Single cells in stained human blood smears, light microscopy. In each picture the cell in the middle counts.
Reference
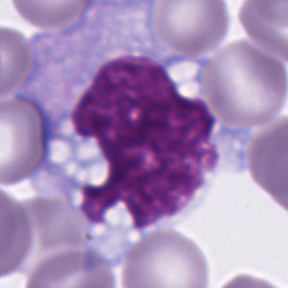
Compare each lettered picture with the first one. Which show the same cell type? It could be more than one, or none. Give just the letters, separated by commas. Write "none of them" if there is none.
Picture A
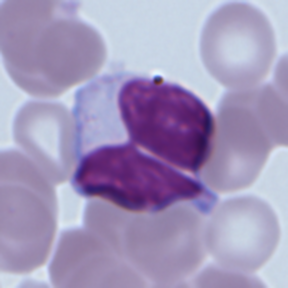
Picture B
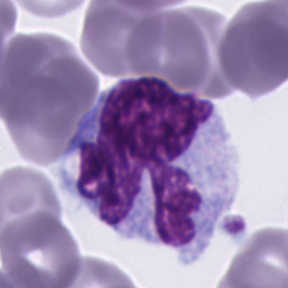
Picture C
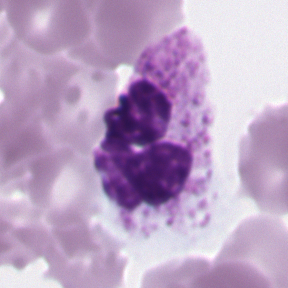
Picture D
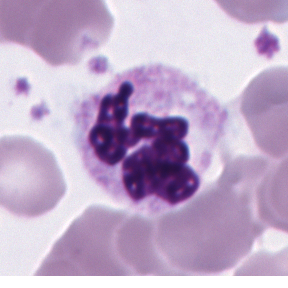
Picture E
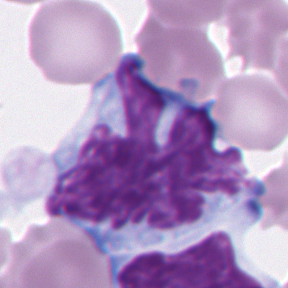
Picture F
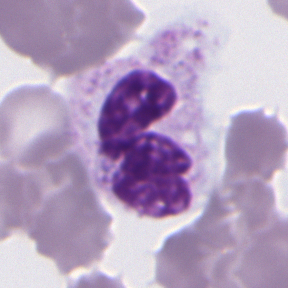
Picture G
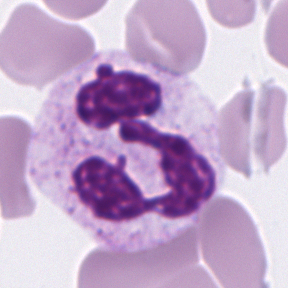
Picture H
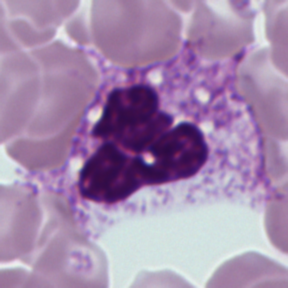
B, E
